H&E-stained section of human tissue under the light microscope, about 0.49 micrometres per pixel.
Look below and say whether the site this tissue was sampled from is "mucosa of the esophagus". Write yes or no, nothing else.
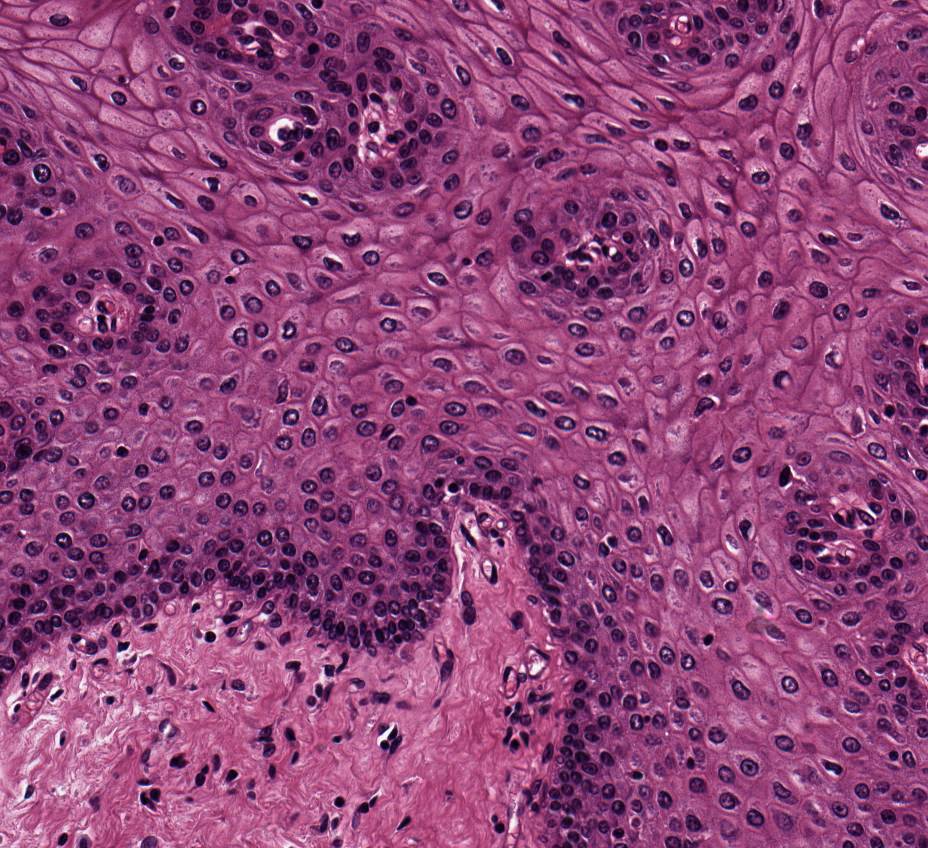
yes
